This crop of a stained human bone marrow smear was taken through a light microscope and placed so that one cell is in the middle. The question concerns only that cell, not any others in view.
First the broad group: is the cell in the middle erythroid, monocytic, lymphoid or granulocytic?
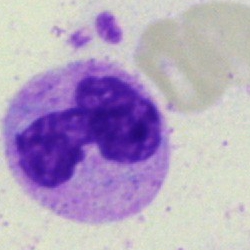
granulocytic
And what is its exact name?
segmented neutrophil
